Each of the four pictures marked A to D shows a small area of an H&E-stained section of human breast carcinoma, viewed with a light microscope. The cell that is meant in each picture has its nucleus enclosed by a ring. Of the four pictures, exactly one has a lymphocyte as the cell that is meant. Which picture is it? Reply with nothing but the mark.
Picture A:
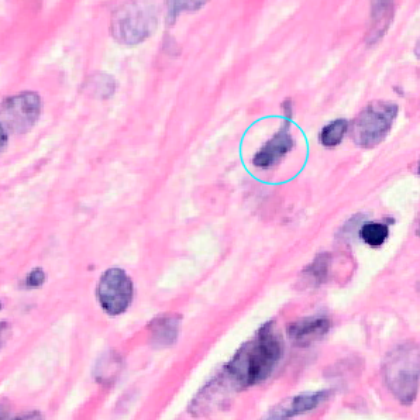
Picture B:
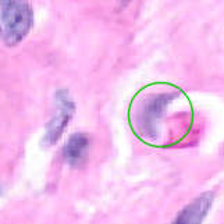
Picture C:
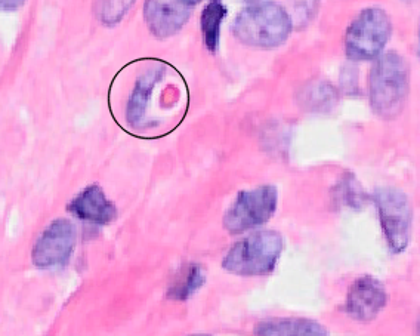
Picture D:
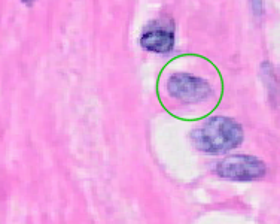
A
